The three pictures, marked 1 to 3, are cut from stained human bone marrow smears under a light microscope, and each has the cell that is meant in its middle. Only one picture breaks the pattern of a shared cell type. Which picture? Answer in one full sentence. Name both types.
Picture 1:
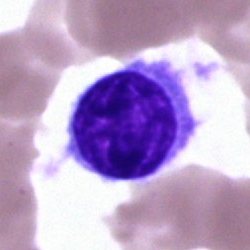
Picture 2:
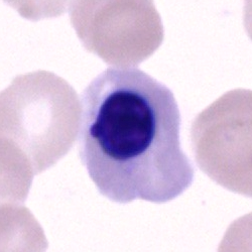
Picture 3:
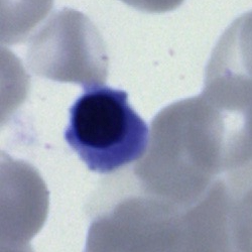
Picture 1 differs, because its cell is a hairy cell and the rest are erythroblasts.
